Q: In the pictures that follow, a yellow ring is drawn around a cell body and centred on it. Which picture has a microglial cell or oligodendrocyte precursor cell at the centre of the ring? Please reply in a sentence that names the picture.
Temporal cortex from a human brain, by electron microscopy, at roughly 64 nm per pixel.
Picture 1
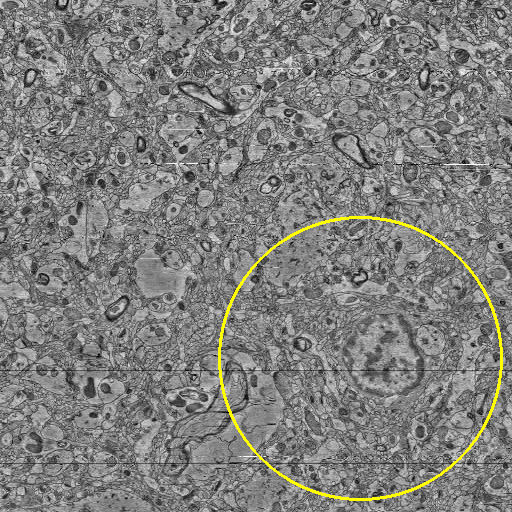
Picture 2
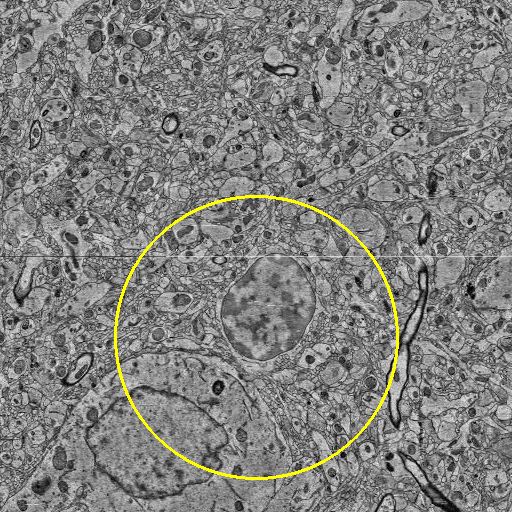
Picture 2 shows it at the centre of its ring.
